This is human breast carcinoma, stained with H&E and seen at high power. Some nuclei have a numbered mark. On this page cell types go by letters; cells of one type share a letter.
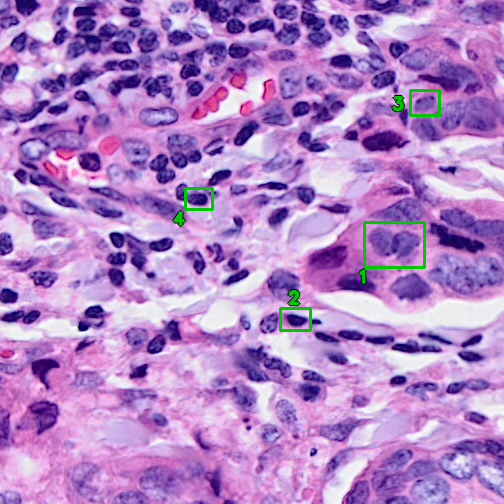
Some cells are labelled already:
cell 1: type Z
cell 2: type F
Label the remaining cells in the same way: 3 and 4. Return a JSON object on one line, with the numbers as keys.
{"3": "type Z", "4": "type F"}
